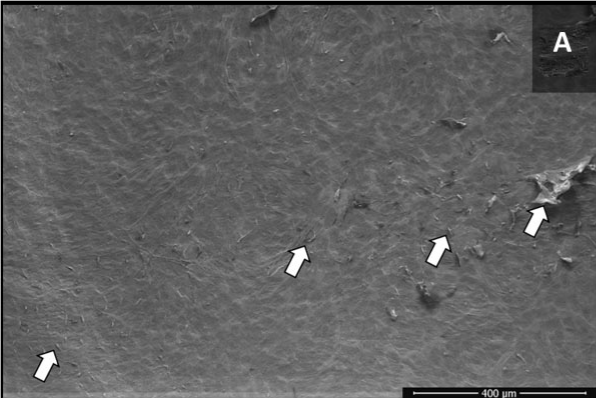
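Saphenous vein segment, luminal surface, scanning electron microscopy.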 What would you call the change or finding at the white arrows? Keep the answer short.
occasional separation of endothelial cells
